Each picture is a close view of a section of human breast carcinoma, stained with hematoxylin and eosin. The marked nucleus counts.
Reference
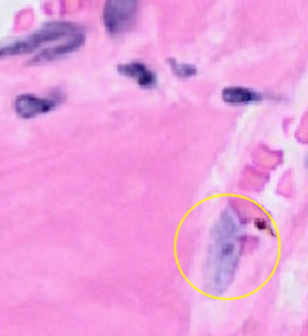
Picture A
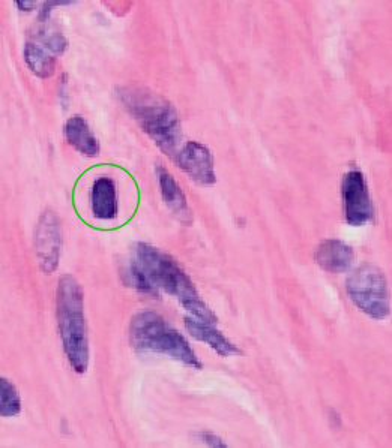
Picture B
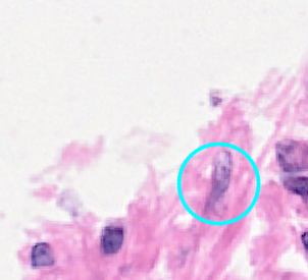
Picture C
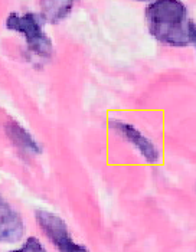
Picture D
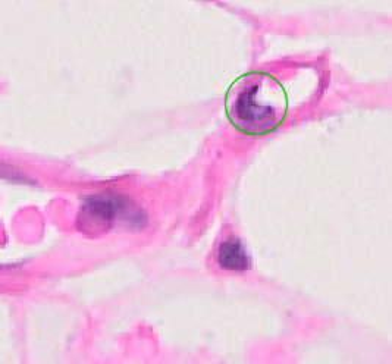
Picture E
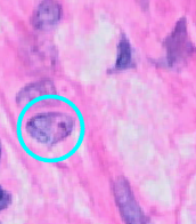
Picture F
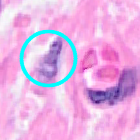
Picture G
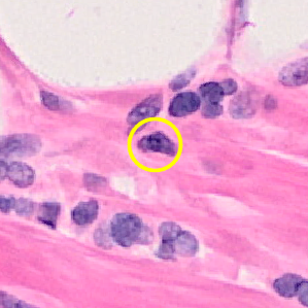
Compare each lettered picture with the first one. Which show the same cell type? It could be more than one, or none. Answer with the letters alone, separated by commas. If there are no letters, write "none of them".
D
